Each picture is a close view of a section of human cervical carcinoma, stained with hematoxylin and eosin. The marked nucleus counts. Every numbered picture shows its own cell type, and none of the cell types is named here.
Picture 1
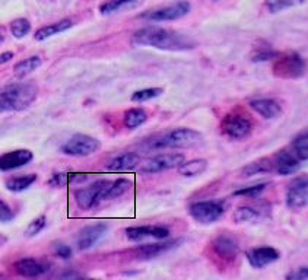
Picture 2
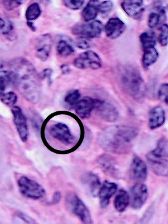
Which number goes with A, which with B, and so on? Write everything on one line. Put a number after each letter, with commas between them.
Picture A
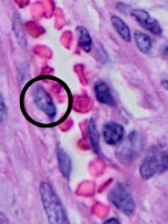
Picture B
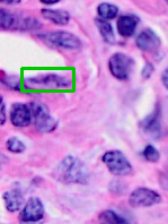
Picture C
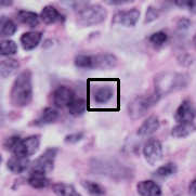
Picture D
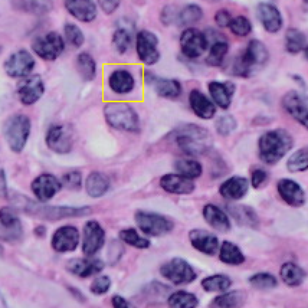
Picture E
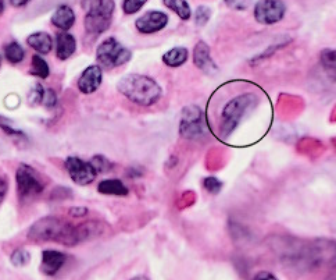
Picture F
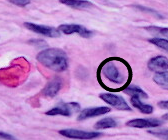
A 1, B 1, C 2, D 2, E 1, F 1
